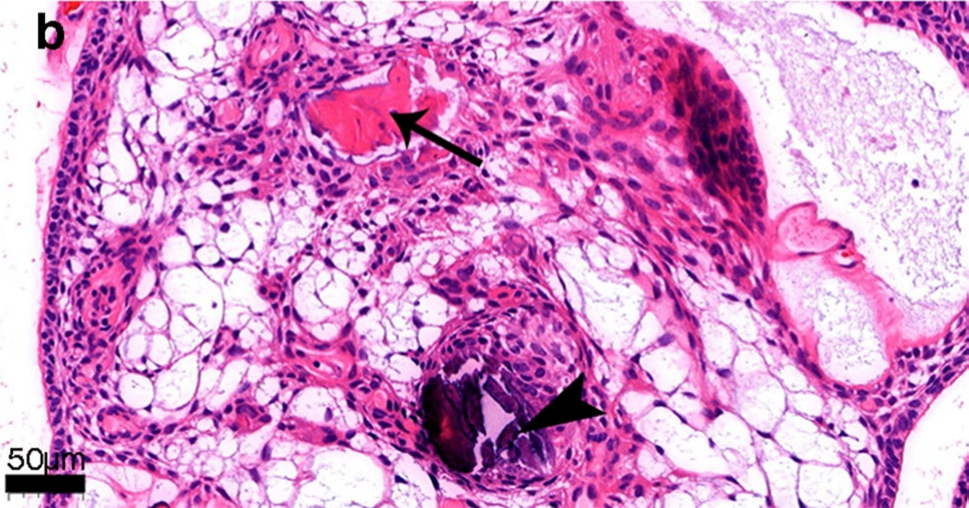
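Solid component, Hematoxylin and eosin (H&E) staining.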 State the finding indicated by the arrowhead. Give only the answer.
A: Calcification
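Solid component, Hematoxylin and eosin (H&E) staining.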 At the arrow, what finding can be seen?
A: wet keratin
